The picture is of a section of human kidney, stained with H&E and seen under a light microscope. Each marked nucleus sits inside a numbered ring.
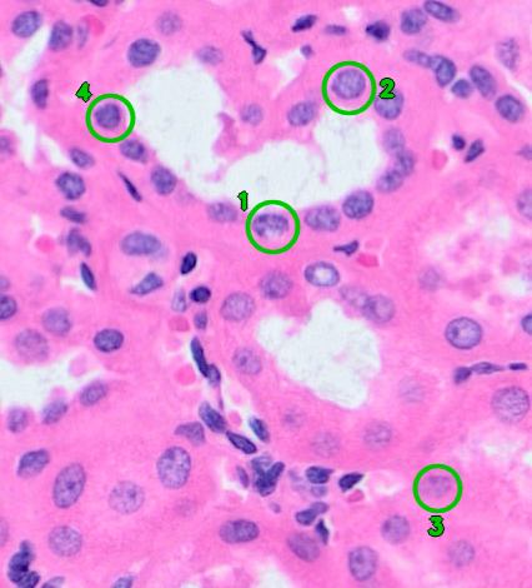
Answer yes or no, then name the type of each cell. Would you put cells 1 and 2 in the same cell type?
Yes, both are loop of Henle or distal tubule cells.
